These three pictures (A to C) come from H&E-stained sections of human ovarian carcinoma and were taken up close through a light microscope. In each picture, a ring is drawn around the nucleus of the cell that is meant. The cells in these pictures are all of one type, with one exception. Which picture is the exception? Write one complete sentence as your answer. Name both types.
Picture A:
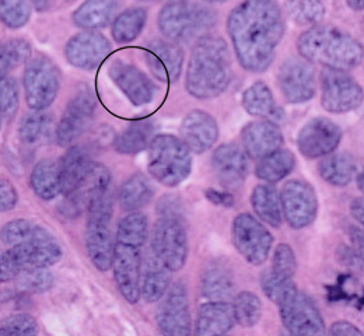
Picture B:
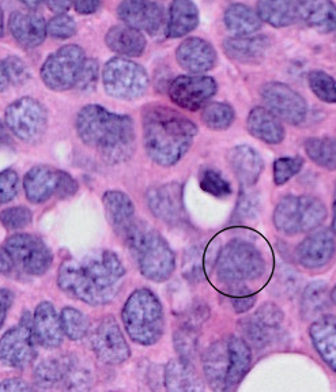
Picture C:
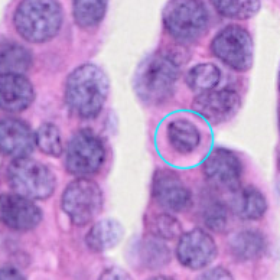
All pictures except C show carcinoma cells; picture C shows a “macrophage or monocyte”.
